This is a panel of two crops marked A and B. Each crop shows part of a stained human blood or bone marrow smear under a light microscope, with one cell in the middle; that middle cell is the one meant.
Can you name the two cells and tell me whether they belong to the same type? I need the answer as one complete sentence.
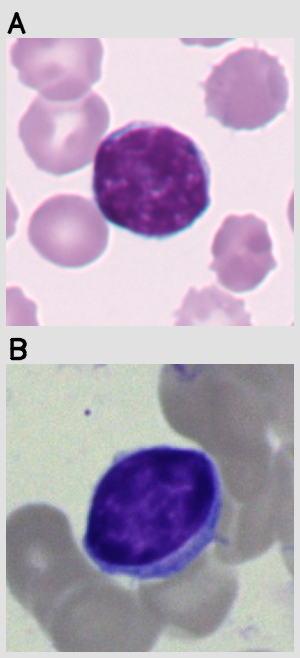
Yes, both crops are centred on lymphocytes.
